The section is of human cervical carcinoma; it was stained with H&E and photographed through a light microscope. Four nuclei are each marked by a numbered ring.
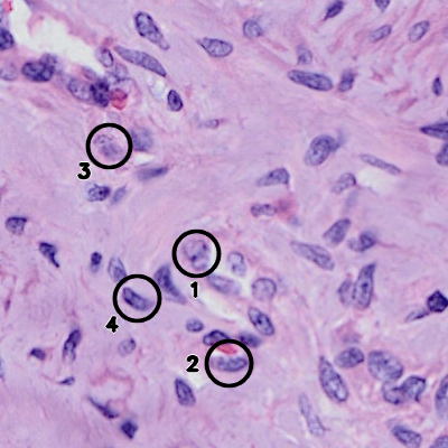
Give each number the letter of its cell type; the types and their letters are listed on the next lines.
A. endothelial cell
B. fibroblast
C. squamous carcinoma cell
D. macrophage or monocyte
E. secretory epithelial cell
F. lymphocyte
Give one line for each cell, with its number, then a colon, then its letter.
1: A
2: A
3: A
4: B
